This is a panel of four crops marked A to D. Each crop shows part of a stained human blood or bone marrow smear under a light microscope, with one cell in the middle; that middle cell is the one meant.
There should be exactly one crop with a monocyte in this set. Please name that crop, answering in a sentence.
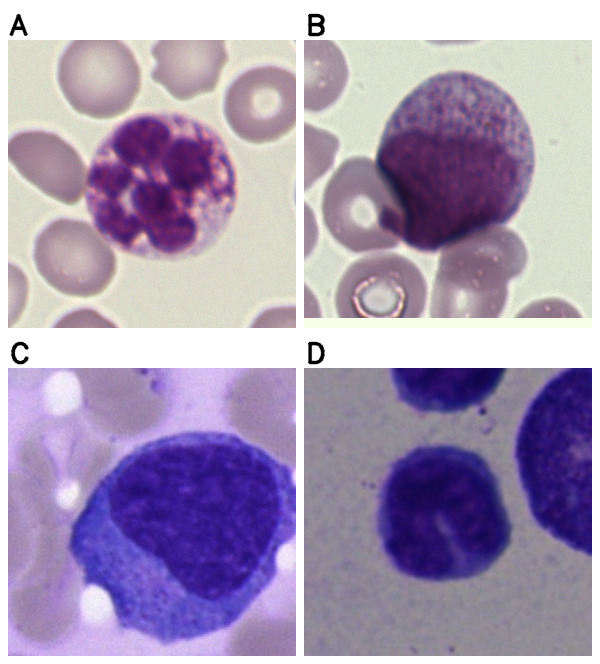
Selected crop: D, which is the one that shows a monocyte.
